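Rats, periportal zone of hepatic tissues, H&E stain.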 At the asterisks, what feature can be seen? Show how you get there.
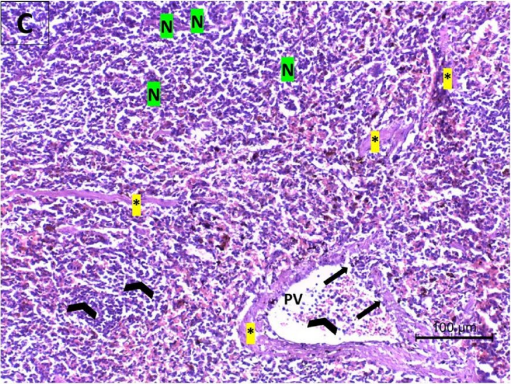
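The asterisks sit on pink, cell-poor fibrous bands. The bands run as strands between the densely packed cells. That points to this answer: collagen bundles.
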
